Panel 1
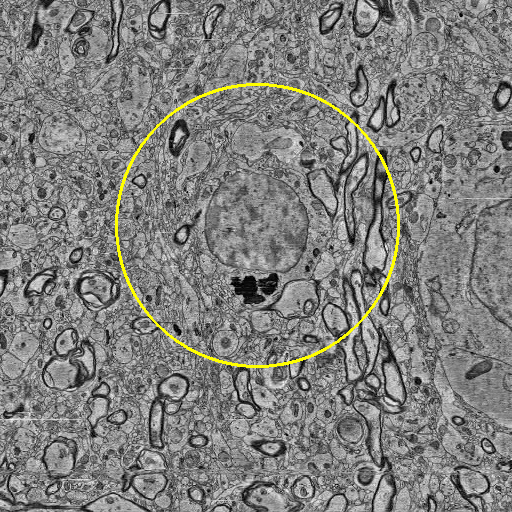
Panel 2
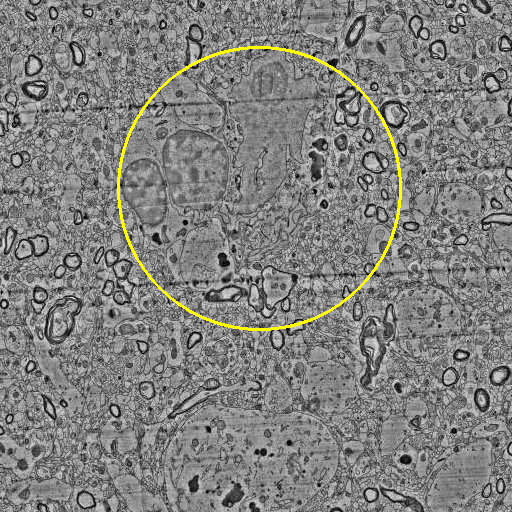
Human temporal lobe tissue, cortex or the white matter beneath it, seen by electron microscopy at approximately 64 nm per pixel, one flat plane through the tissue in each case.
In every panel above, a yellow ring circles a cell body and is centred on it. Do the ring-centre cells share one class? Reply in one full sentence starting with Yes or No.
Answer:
Yes, the two cells at the ring centres in the panels belong to one class.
